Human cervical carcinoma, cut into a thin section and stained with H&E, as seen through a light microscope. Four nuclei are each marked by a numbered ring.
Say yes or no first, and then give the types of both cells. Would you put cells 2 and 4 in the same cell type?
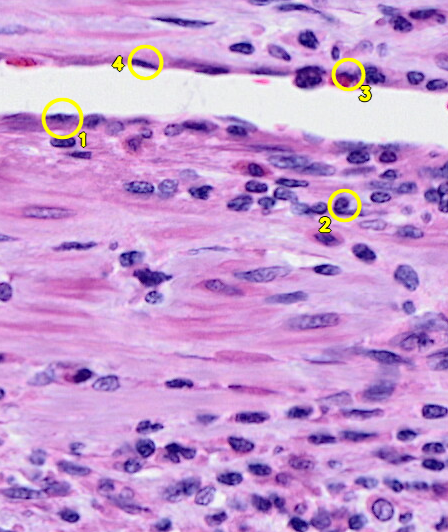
No, cell 2 is a lymphocyte and cell 4 is an endothelial cell.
